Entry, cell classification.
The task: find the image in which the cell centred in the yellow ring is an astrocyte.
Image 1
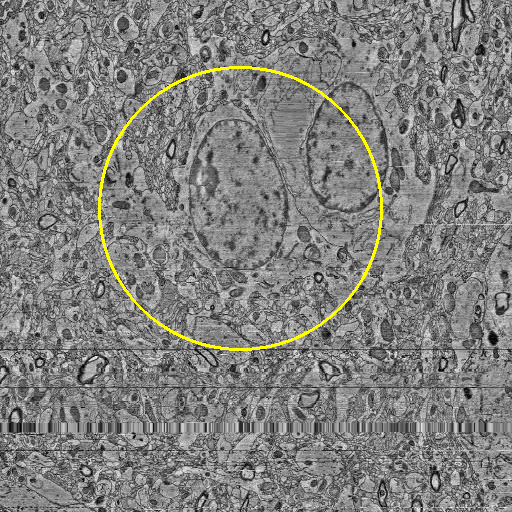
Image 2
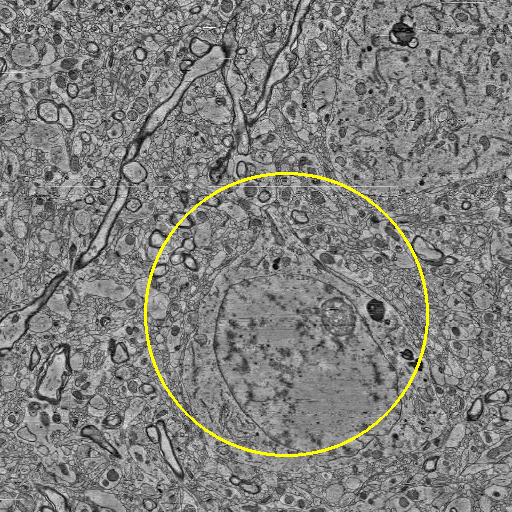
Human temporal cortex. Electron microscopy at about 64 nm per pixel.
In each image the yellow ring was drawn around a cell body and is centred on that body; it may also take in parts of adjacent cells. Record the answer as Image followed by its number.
Image 1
